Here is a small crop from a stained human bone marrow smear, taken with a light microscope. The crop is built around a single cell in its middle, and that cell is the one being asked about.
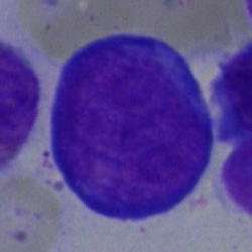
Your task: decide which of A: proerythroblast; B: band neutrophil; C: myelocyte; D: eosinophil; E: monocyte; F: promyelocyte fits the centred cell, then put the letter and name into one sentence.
The cell in the centre of the crop is a proerythroblast, so option A is the correct one.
